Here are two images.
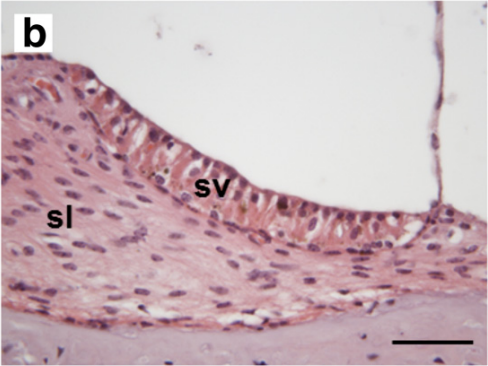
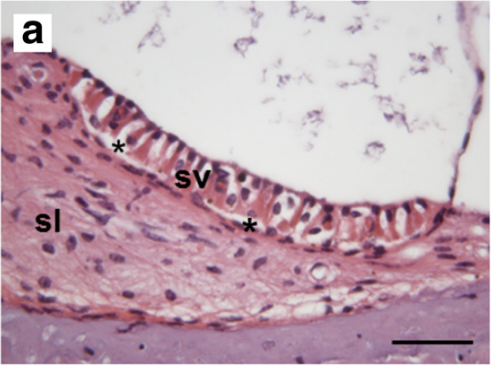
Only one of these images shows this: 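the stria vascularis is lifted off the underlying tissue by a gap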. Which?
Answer: The second image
